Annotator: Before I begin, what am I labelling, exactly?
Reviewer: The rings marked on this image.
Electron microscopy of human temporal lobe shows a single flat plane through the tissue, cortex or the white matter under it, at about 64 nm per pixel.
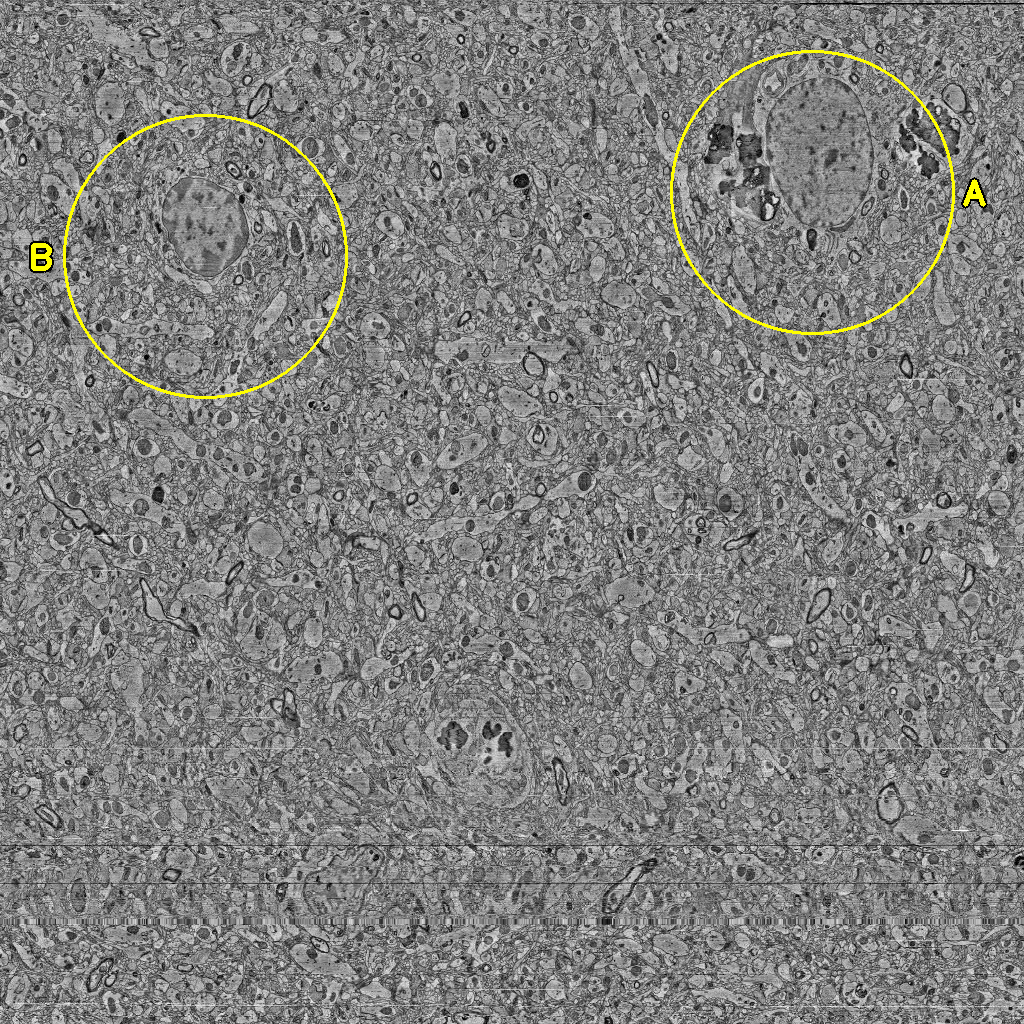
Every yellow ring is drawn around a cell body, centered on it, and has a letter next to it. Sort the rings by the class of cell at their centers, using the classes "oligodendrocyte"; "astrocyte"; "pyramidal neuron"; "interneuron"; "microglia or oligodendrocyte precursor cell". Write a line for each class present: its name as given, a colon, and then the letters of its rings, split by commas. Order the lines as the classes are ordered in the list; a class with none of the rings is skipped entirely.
astrocyte: A
microglia or oligodendrocyte precursor cell: B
